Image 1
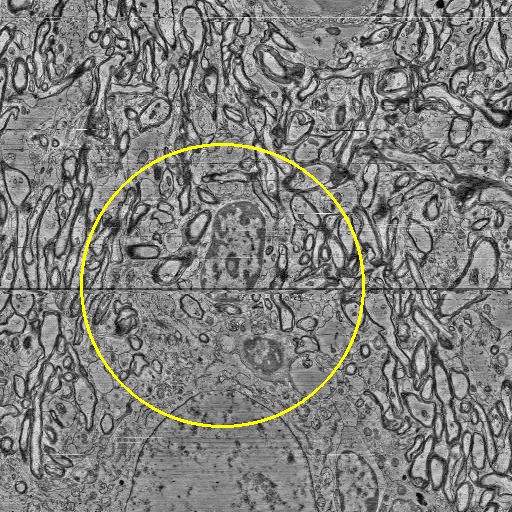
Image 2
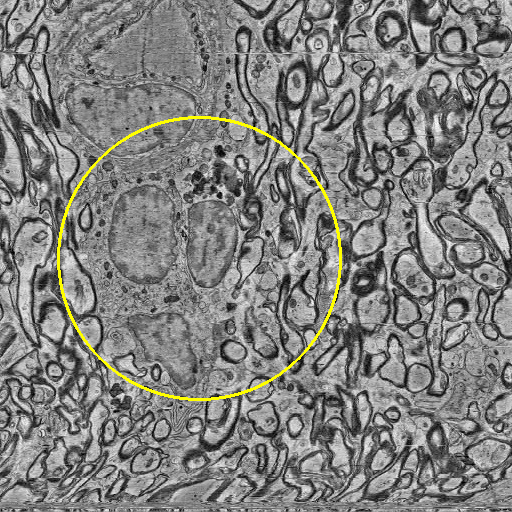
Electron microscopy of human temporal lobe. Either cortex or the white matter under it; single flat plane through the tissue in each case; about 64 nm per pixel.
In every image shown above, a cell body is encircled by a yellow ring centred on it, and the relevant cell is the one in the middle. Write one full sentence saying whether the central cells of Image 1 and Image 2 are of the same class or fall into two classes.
The cell at the ring's centre in Image 1 and its counterpart in Image 2 are of the same class.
